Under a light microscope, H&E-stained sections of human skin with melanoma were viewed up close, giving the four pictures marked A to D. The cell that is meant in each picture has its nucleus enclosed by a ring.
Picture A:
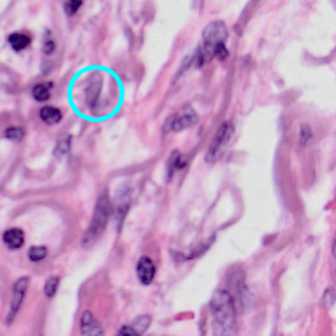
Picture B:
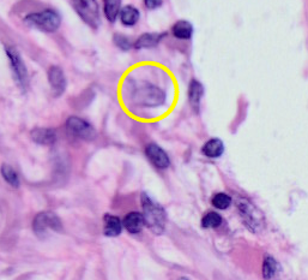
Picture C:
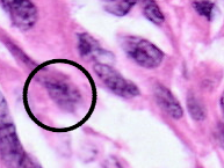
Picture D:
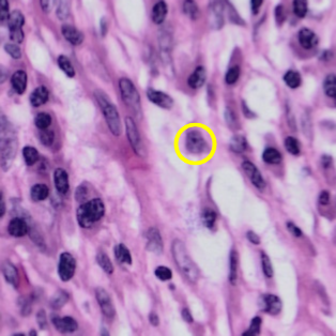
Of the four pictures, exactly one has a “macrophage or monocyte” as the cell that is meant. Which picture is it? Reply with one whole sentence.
Picture D is the one that shows the “macrophage or monocyte”.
